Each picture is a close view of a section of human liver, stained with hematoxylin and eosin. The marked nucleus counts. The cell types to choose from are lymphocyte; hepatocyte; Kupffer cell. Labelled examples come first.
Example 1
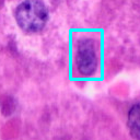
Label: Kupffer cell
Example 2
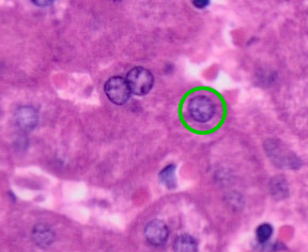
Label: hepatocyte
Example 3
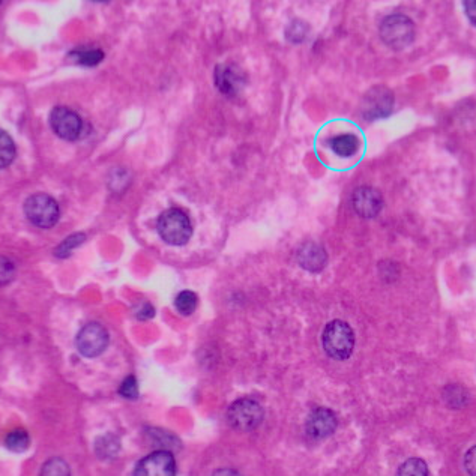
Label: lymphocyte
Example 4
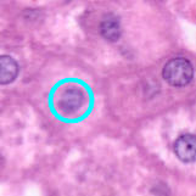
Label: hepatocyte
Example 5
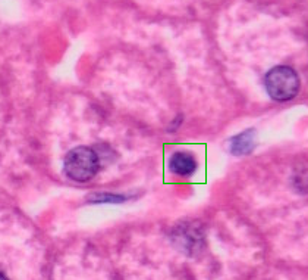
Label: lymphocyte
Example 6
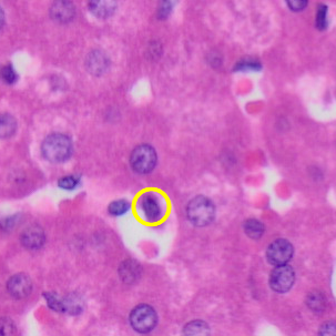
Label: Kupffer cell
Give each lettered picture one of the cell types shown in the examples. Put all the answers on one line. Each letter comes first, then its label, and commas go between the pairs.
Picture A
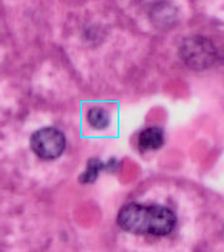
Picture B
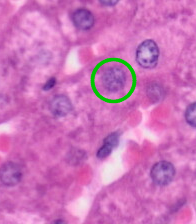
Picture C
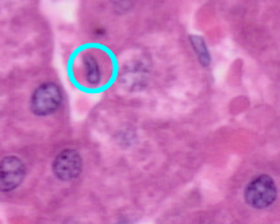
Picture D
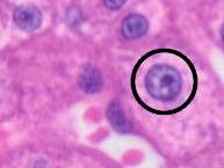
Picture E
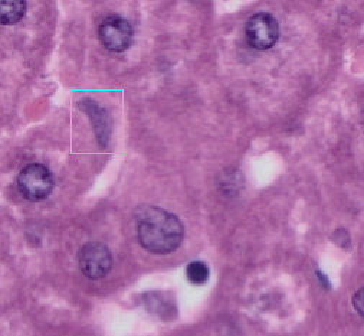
A lymphocyte, B hepatocyte, C Kupffer cell, D hepatocyte, E Kupffer cell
